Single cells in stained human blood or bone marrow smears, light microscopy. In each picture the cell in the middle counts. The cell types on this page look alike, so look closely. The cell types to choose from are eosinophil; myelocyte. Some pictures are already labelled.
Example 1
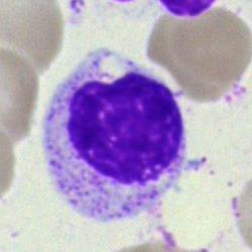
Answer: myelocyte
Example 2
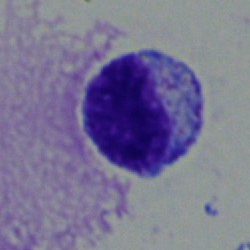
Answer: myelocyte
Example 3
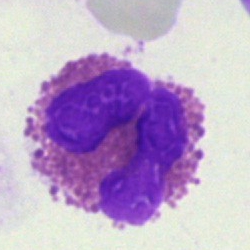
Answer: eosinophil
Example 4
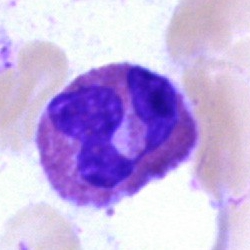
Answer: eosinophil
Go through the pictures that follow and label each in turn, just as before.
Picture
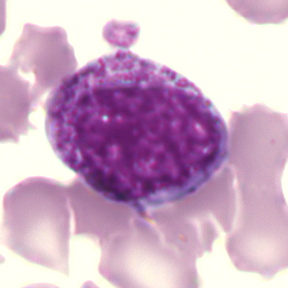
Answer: myelocyte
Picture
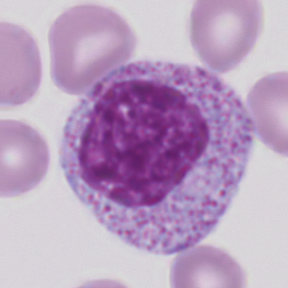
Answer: myelocyte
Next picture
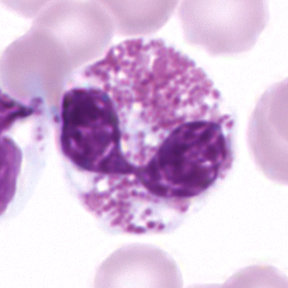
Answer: eosinophil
